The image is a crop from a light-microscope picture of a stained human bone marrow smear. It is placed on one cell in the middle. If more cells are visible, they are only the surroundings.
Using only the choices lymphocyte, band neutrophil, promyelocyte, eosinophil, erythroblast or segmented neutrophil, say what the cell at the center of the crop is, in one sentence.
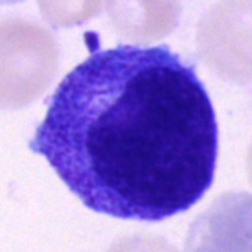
The cell in the exact centre of the crop is a promyelocyte.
